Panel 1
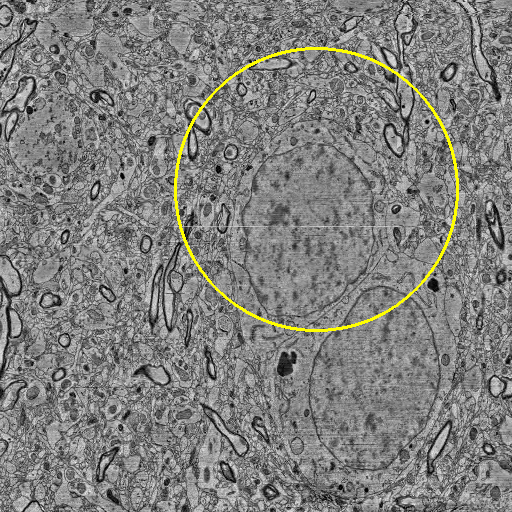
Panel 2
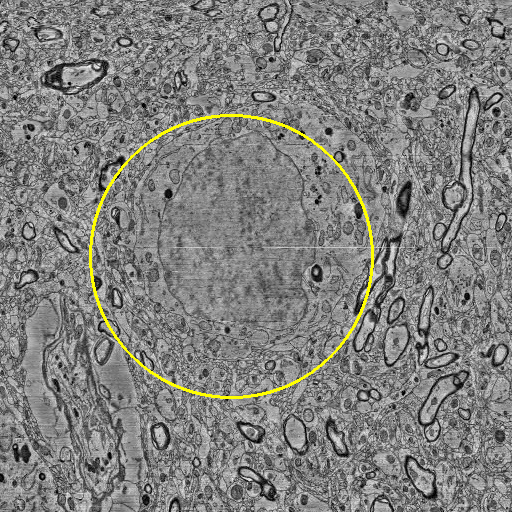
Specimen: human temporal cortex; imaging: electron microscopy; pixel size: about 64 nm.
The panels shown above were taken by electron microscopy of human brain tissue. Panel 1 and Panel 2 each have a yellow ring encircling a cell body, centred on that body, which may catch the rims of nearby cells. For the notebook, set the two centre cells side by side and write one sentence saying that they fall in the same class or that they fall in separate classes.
The centred cells of Panel 1 and Panel 2 fall in the same class.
